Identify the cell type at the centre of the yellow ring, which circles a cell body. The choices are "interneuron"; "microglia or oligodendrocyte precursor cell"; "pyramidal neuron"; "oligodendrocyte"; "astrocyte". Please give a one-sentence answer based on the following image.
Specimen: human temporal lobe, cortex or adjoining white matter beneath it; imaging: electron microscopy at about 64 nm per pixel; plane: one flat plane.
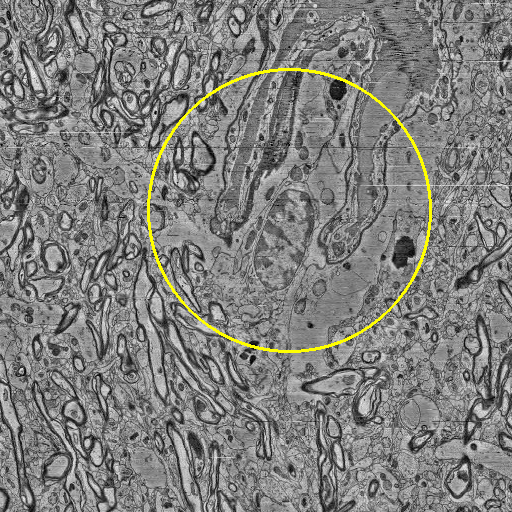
The cell marked by the ring is a microglial cell or oligodendrocyte precursor cell.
